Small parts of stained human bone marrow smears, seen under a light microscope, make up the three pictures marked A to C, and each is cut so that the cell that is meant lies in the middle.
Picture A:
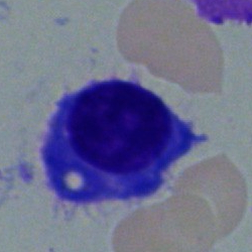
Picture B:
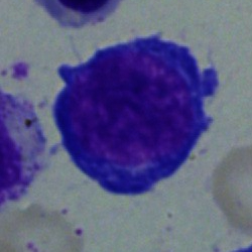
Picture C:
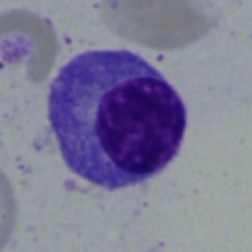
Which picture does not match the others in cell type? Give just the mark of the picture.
B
